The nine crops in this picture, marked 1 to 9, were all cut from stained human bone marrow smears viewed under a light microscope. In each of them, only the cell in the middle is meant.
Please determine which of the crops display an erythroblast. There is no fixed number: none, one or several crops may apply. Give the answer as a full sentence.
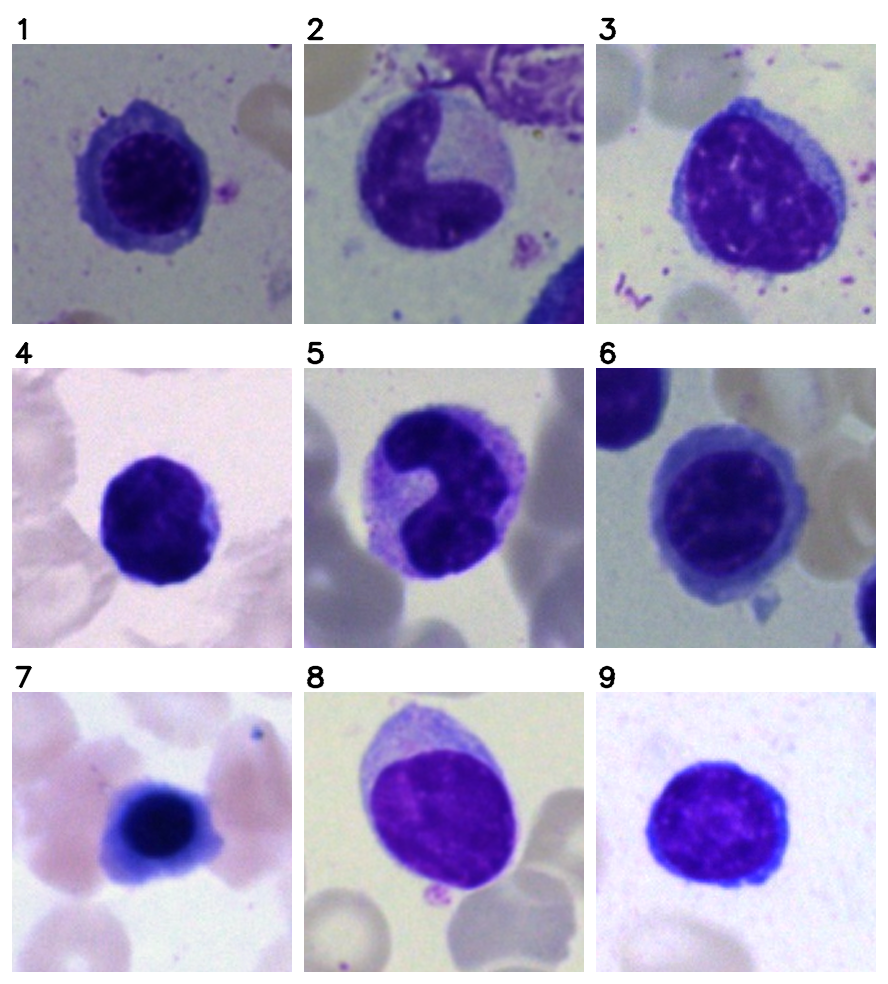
Depicted at the centre of crops 1, 6 and 7 are erythroblasts.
